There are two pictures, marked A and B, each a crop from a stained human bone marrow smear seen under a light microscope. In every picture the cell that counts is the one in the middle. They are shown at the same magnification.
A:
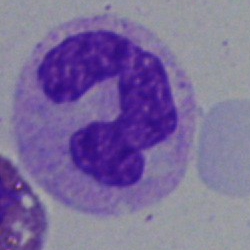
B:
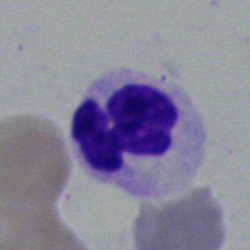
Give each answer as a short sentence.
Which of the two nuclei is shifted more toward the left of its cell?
Seen within its cell, the nucleus in picture B lies further toward the left.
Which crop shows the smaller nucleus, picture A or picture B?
The nucleus in picture B is smaller; the one in picture A has about 2 times its area.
